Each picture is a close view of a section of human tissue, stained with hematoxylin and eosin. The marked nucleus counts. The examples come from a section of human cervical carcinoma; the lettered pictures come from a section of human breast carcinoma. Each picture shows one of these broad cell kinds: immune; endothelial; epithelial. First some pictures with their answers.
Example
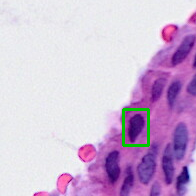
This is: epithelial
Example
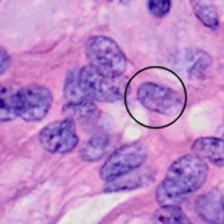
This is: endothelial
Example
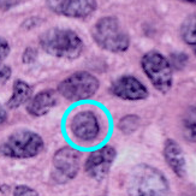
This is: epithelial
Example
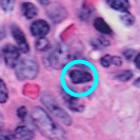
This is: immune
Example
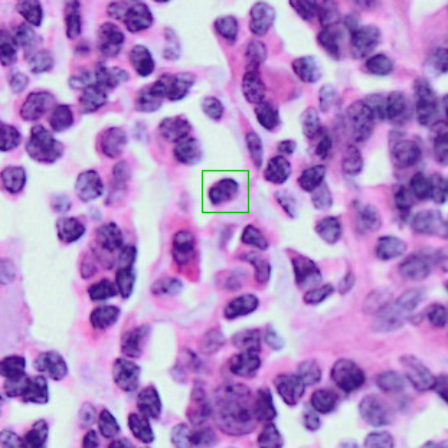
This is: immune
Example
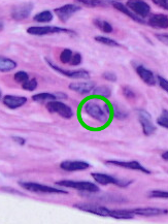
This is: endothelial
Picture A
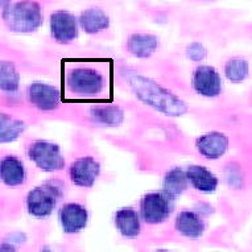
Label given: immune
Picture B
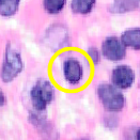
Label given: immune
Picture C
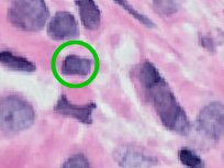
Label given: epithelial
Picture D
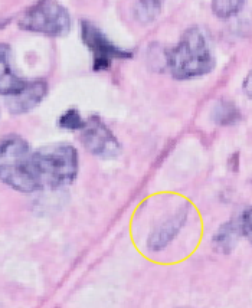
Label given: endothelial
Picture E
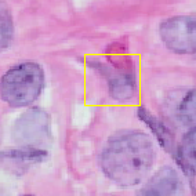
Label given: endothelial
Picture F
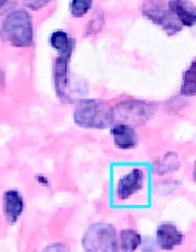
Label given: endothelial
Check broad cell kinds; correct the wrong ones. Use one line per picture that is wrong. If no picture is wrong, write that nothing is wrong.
Wrong: C (epithelial); correct: immune
Wrong: F (endothelial); correct: immune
